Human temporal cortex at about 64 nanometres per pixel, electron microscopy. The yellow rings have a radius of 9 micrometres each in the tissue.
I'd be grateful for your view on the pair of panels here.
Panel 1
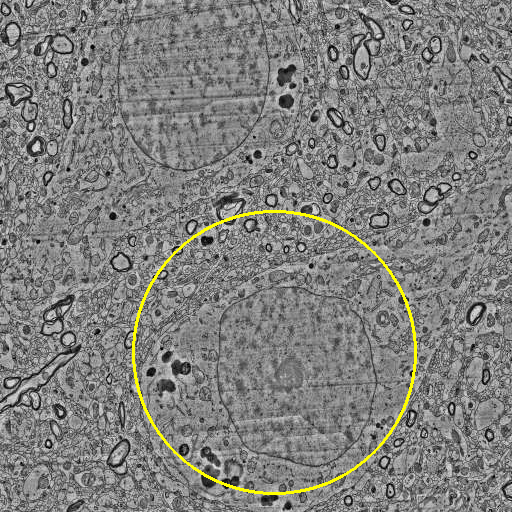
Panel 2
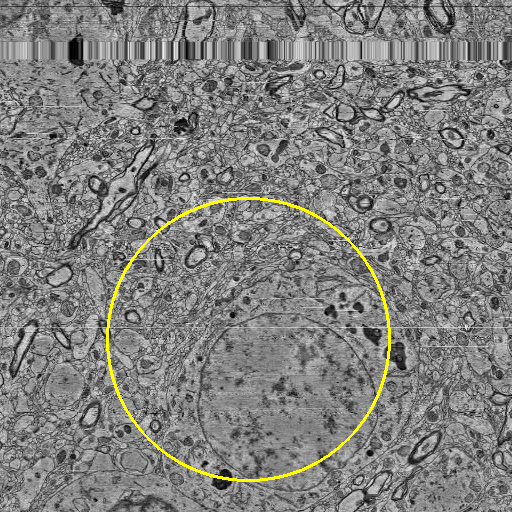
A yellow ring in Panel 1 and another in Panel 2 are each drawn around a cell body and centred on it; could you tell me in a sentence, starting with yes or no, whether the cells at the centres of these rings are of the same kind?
Yes, they are the same kind of cell.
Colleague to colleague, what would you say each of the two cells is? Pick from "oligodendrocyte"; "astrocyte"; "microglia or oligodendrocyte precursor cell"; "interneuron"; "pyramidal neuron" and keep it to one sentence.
The second cell is a pyramidal neuron, just as the first is.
